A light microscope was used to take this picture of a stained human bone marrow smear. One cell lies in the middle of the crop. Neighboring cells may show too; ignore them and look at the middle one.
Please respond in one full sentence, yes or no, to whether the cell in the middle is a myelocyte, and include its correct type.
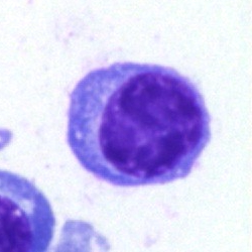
No, sorry, the middle cell is a plasma cell rather than a myelocyte.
